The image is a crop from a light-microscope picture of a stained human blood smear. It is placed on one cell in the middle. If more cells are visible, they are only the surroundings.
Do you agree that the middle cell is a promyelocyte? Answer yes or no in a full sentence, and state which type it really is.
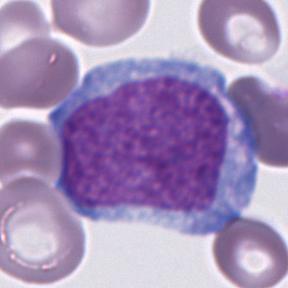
Yes, the middle cell is classified as a promyelocyte.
